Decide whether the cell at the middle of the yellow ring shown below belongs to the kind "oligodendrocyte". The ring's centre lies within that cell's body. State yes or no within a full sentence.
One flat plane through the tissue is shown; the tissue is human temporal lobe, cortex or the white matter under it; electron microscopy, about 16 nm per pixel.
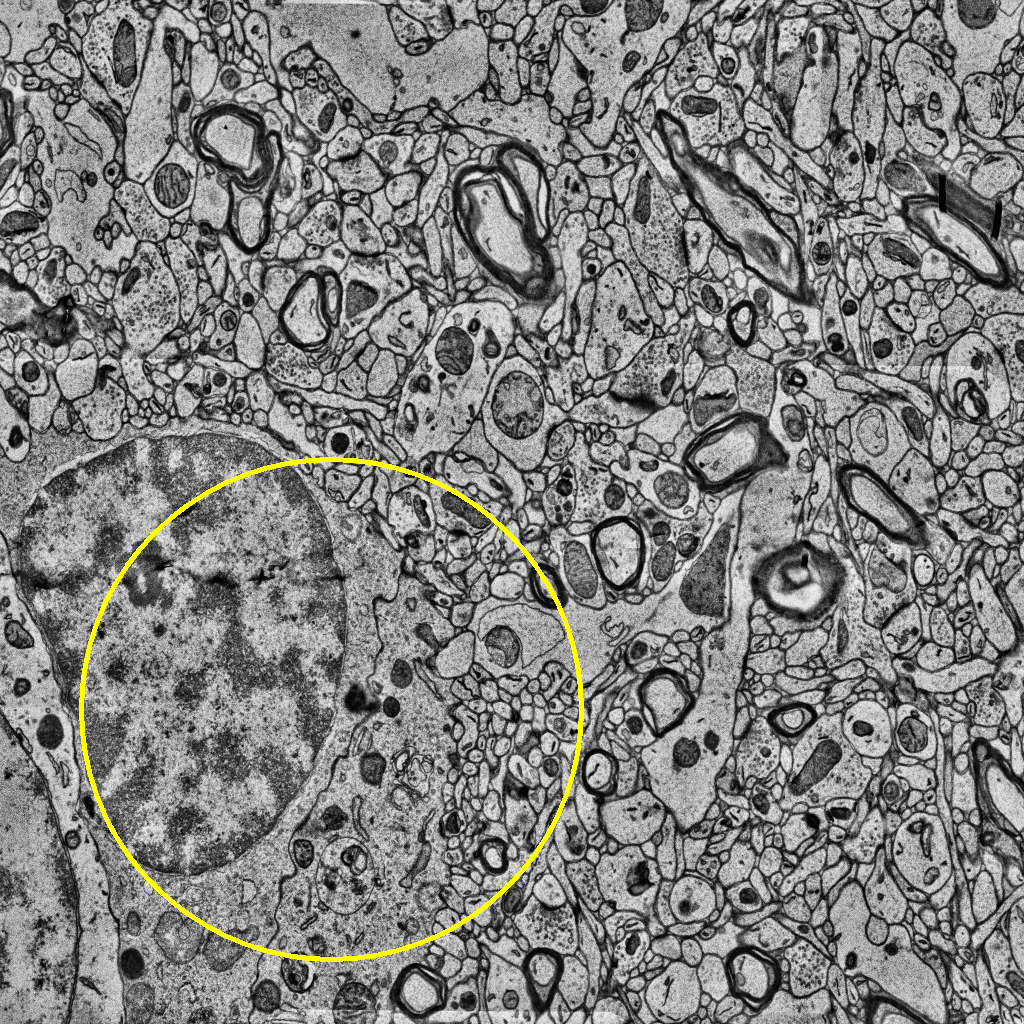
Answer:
Yes, the cell whose body lies at the ring's centre in the picture belongs to that kind.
